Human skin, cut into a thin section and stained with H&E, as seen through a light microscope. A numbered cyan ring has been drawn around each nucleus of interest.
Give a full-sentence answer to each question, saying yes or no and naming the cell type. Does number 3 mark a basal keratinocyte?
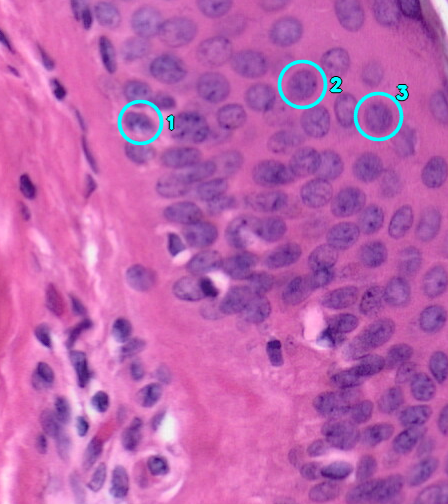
No, the cell with number 3 is not a basal keratinocyte but a suprabasal keratinocyte.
